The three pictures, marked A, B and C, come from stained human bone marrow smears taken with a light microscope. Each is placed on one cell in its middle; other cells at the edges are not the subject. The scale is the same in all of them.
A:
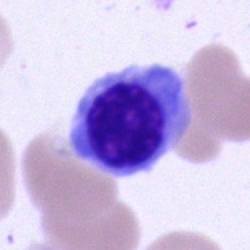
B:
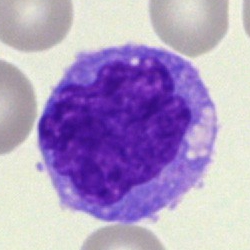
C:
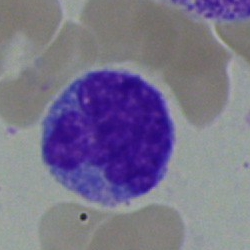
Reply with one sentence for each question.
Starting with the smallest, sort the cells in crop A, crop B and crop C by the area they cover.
Going up, they run A, C, B.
